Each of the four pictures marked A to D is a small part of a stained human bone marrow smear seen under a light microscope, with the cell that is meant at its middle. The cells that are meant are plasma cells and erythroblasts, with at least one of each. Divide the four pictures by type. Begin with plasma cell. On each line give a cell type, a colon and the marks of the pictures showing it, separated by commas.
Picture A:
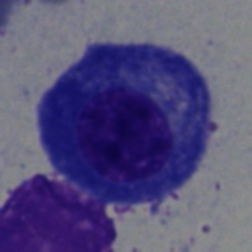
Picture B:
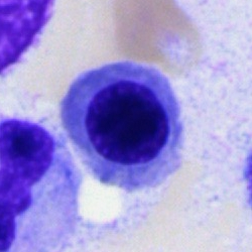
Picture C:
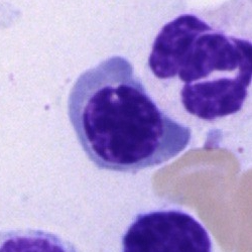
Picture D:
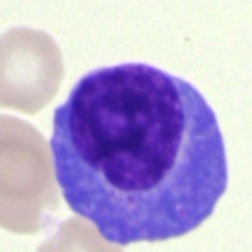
plasma cell: A, D
erythroblast: B, C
